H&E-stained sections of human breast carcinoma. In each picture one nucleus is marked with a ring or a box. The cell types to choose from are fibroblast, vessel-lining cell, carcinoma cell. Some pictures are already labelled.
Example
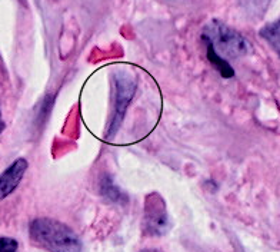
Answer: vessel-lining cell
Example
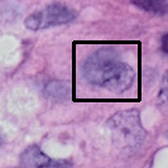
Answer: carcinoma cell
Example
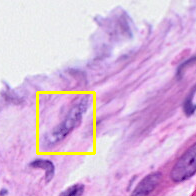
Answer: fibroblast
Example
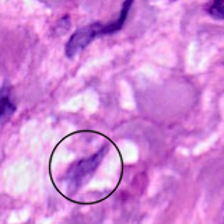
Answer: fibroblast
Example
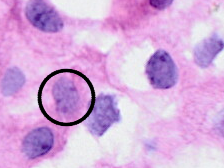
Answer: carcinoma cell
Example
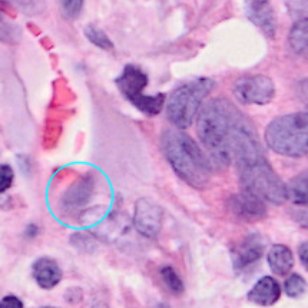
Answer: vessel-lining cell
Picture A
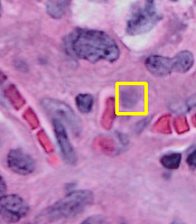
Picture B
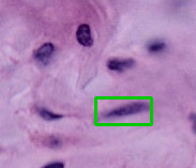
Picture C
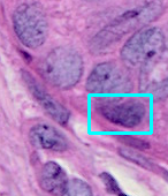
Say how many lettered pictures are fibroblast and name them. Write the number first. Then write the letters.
Count: 1 (B)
